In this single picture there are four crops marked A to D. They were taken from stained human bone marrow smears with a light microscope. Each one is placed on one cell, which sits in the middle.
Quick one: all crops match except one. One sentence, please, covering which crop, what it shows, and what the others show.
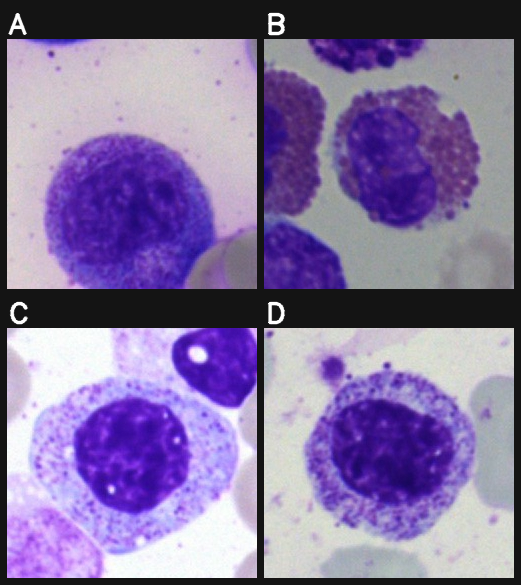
The crop that differs is B, which is an eosinophil; the rest are myelocytes.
